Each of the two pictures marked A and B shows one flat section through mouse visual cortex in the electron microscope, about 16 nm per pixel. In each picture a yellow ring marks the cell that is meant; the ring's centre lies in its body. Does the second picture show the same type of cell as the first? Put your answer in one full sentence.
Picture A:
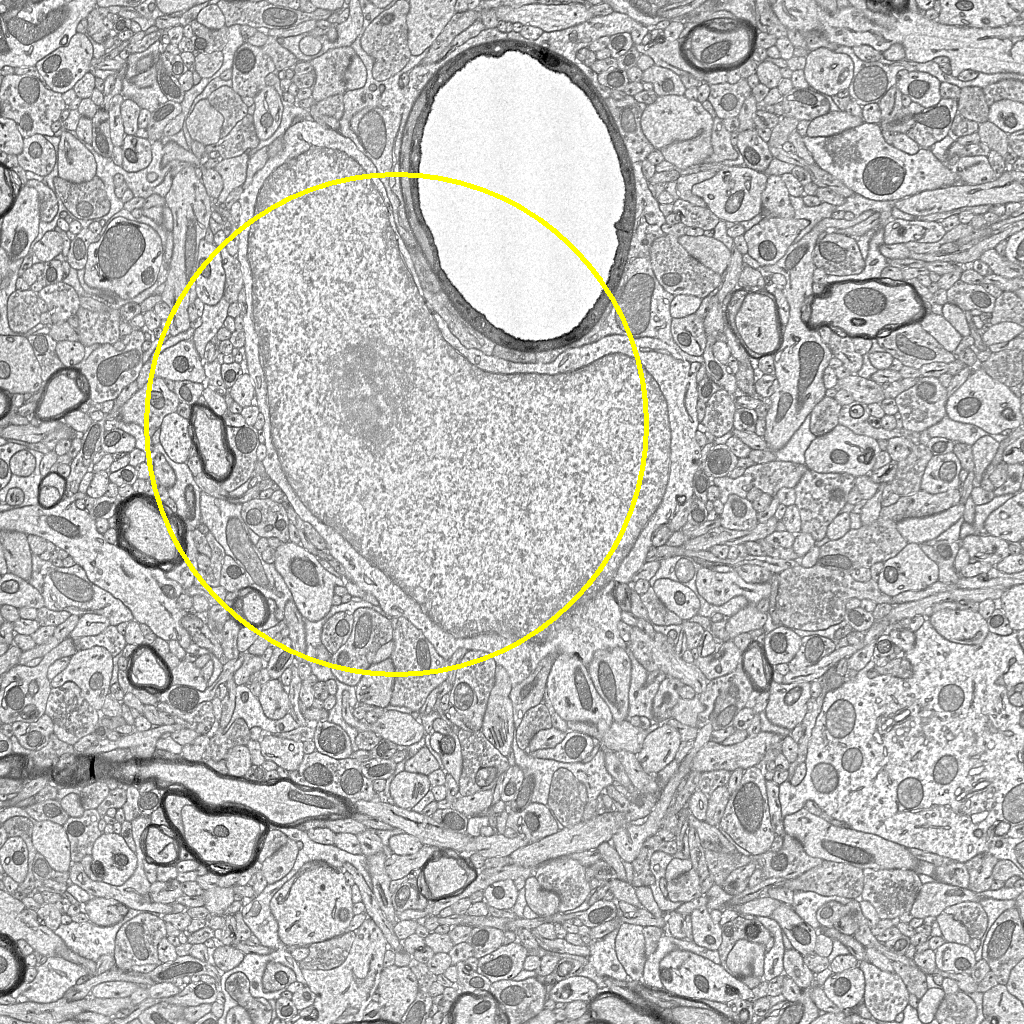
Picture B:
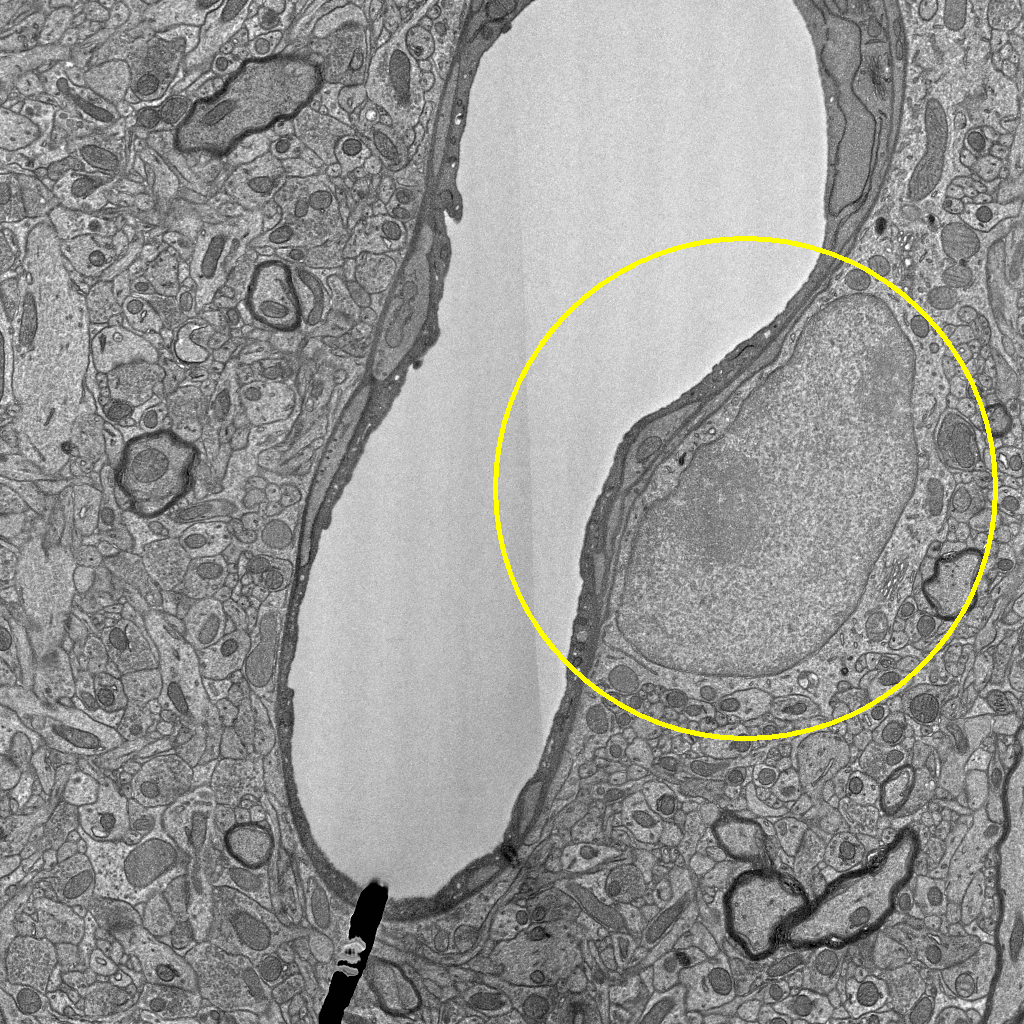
No, the types are not the same, since picture A shows an oligodendrocyte precursor cell and picture B an astrocyte.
